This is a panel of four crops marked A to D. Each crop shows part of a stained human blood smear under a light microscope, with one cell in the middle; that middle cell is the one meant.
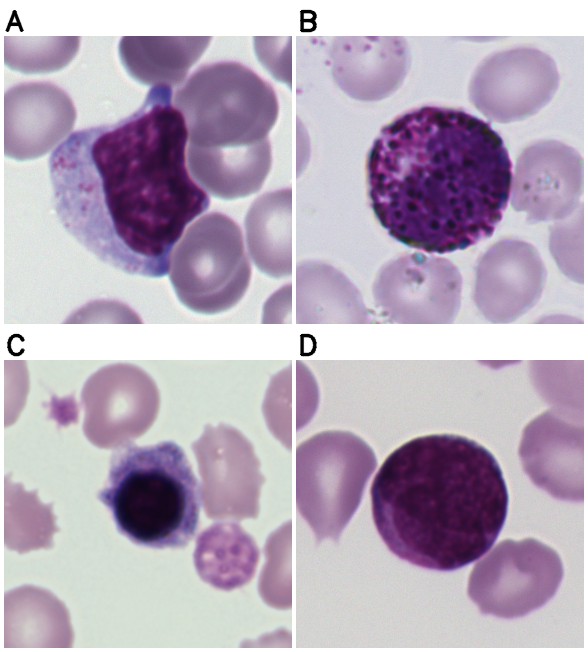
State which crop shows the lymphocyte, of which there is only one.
A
